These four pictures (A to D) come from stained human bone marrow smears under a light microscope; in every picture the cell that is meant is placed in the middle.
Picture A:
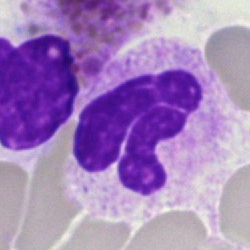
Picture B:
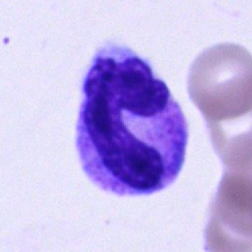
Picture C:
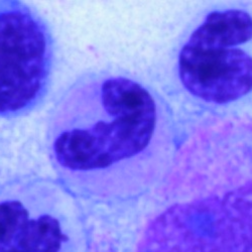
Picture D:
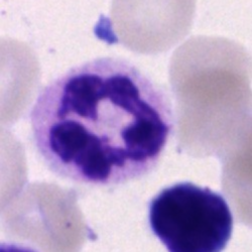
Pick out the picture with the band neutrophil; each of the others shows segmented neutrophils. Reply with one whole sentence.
The picture with the band neutrophil is B.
